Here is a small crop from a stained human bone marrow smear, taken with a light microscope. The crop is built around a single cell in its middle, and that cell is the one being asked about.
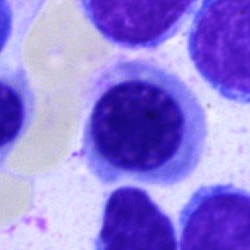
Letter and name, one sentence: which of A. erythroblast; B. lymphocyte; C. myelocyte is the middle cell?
The cell at the centre is an erythroblast, and option A accordingly is correct.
